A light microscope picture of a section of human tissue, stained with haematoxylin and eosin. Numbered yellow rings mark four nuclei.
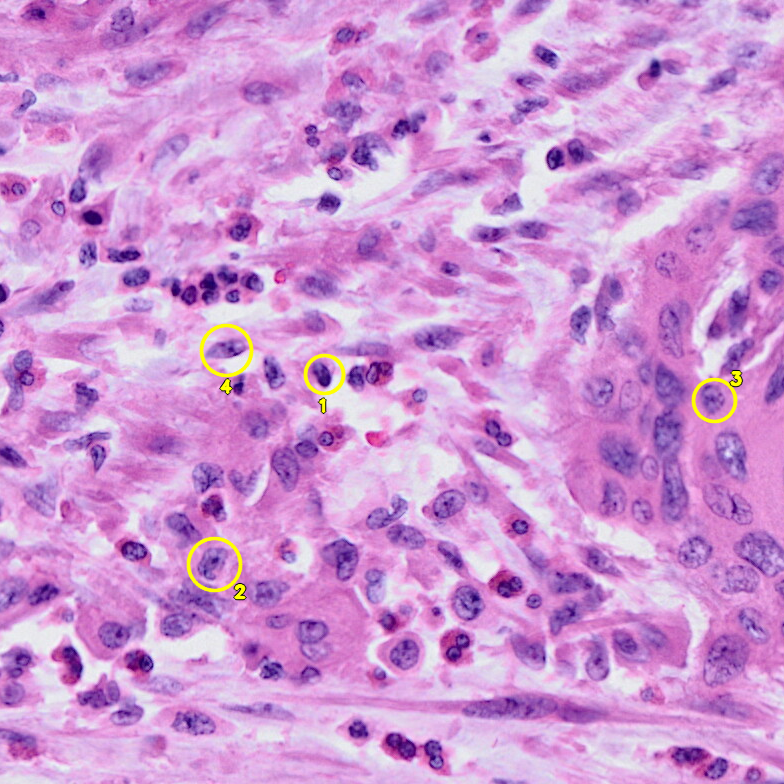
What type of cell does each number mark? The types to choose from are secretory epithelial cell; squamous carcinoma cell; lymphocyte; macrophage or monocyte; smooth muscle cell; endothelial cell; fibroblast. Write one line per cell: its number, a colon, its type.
1: lymphocyte
2: macrophage or monocyte
3: squamous carcinoma cell
4: macrophage or monocyte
